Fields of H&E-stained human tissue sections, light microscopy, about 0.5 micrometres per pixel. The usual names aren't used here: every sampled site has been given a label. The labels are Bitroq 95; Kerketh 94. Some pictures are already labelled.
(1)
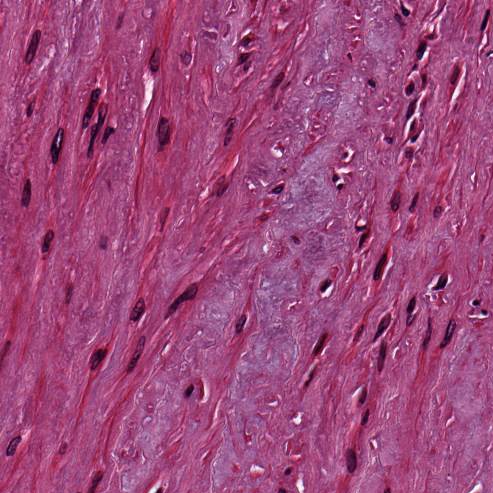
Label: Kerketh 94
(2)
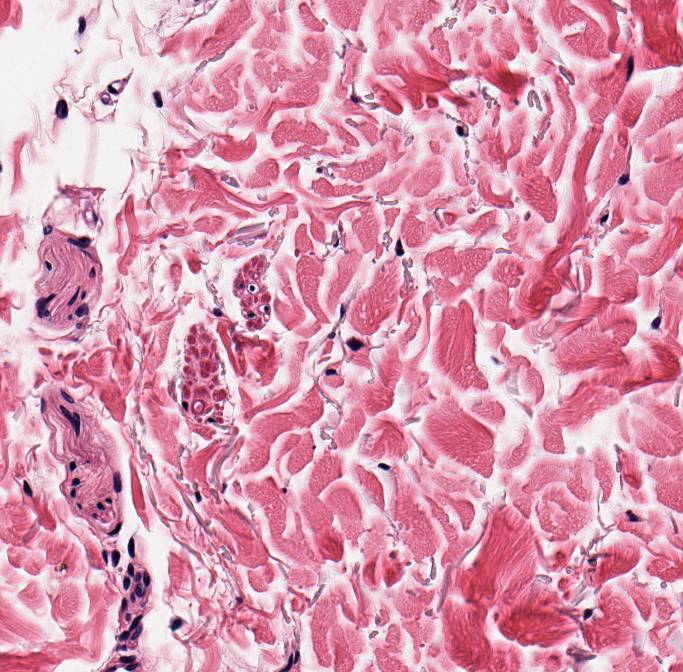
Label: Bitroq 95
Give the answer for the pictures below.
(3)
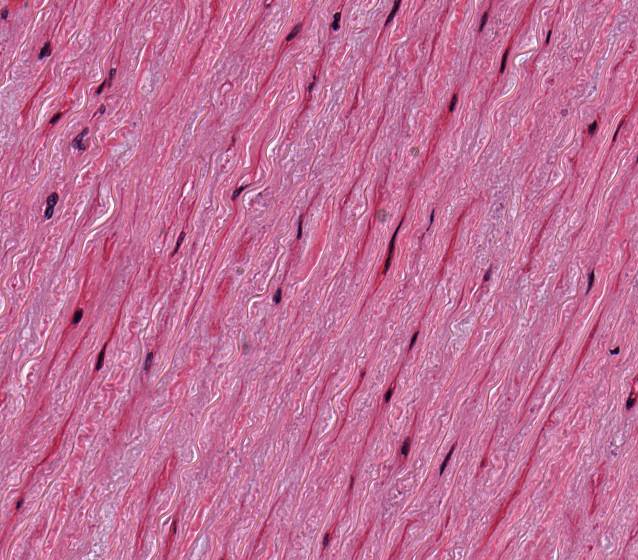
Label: Kerketh 94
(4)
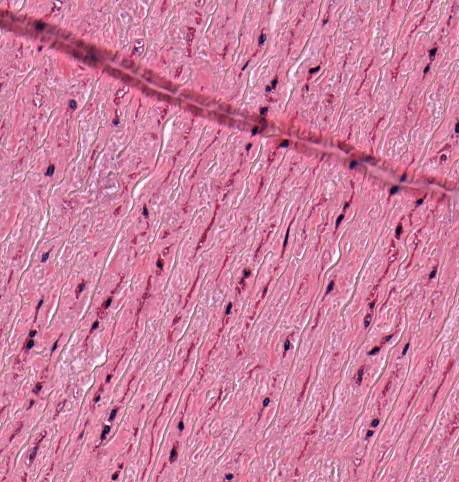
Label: Kerketh 94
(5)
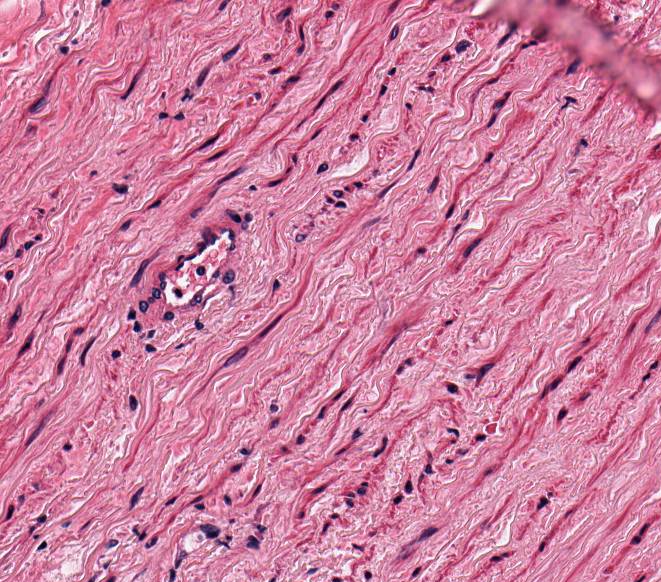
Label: Kerketh 94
